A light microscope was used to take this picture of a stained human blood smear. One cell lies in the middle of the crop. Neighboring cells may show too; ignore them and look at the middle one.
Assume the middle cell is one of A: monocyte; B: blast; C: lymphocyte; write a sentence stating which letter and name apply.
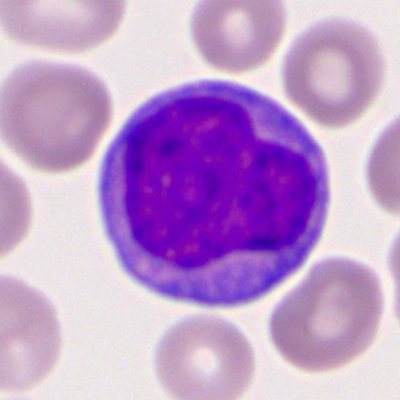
Seen at the centre of the crop is a blast, so option B is correct.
